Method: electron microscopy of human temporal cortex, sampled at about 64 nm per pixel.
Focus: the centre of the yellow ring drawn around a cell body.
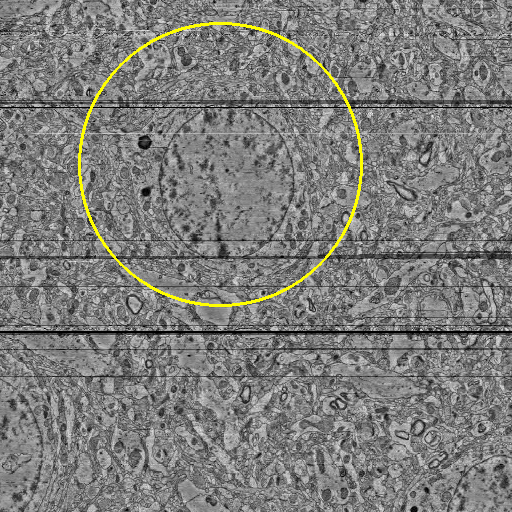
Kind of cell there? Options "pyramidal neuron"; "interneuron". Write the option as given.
pyramidal neuron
